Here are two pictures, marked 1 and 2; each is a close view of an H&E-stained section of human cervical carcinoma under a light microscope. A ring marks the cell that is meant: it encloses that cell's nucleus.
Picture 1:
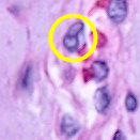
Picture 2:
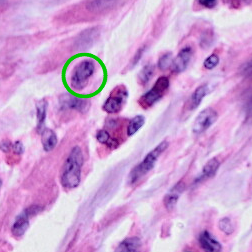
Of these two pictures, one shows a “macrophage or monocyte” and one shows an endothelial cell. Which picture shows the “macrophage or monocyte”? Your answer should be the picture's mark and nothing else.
2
